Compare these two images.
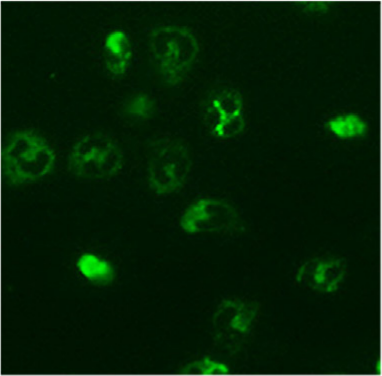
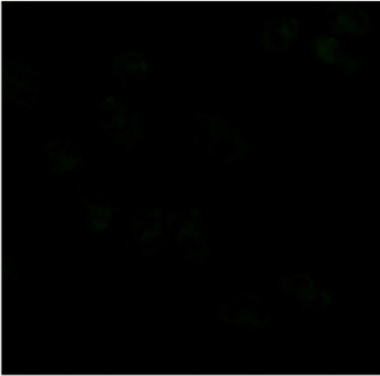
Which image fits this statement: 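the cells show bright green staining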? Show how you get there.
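Second image: the field is almost entirely dark, with only faint traces of cells. First image: many cells show bright green staining with rims and granular patches. So: the first image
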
